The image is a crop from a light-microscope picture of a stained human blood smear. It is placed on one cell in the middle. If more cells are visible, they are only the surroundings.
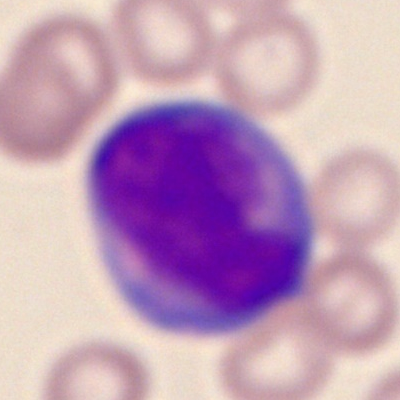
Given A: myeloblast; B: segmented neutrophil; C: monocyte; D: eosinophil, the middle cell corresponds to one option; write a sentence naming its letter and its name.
What option A states is correct, the central cell being a myeloblast.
